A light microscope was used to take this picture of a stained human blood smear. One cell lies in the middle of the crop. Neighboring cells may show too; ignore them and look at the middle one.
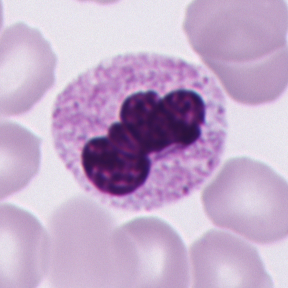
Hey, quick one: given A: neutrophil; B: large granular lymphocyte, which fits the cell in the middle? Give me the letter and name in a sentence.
Option A is the right one, for the cell in the middle is a neutrophil.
